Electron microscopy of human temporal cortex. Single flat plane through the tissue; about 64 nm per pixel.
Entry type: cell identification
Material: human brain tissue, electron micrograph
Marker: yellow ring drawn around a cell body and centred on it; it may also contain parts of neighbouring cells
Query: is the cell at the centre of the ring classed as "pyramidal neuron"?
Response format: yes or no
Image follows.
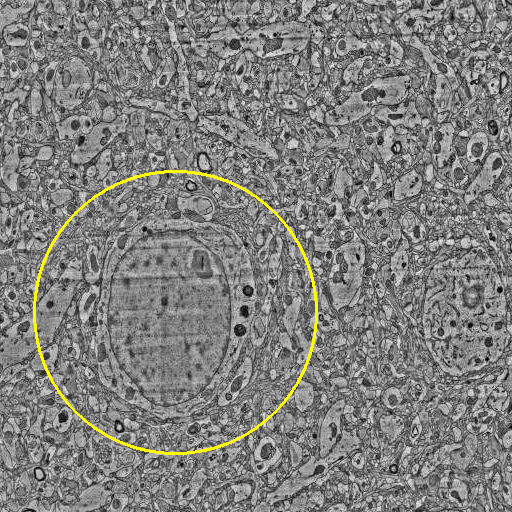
yes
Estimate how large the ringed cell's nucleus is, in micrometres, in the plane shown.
In this plane the nucleus measures roughly 11 by 8 micrometers.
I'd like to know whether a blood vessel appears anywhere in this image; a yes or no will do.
No, the image shows no blood vessel.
